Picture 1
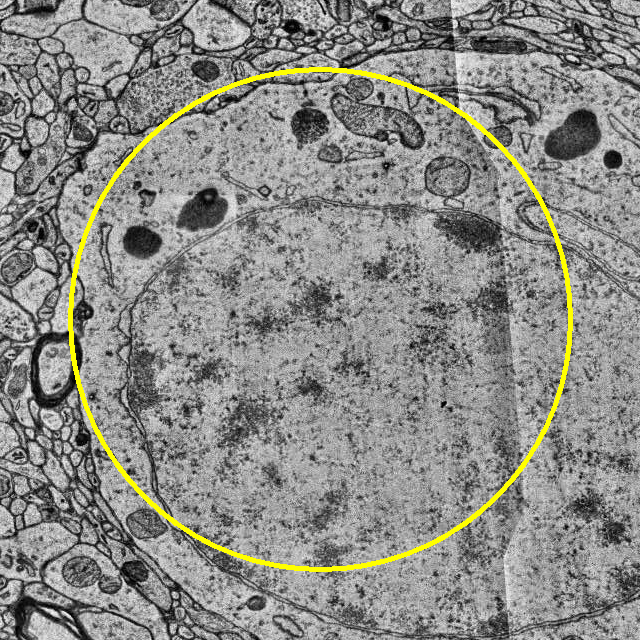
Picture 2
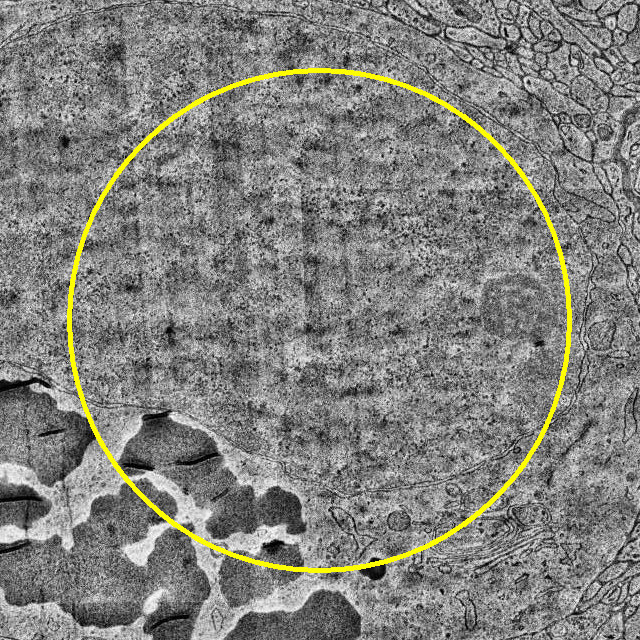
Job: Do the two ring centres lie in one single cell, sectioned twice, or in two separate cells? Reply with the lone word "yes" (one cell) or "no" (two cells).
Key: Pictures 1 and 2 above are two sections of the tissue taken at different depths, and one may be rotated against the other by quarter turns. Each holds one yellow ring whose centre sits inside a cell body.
yes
